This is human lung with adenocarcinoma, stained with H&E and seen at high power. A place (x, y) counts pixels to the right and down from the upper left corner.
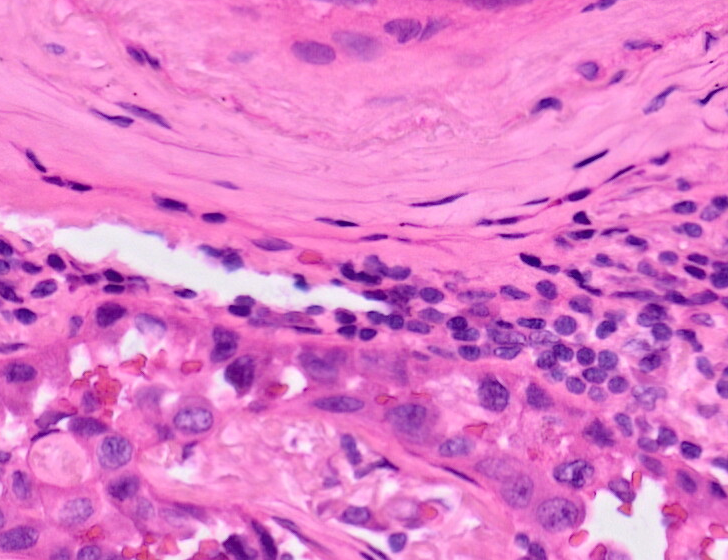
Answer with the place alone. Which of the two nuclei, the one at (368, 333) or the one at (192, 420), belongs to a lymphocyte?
(368, 333)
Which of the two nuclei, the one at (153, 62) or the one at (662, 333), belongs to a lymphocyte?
(662, 333)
